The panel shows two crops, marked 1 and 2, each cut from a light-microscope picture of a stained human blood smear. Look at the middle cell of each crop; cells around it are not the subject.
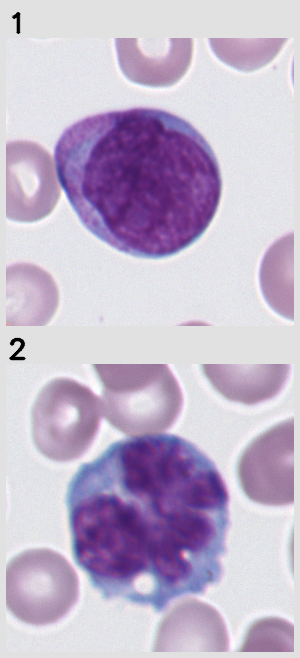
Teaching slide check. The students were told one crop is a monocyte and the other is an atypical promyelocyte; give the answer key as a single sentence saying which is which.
Crop 1 holds an atypical promyelocyte; crop 2 holds a monocyte.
